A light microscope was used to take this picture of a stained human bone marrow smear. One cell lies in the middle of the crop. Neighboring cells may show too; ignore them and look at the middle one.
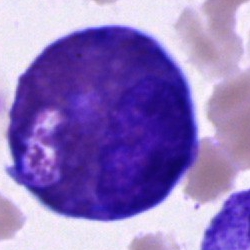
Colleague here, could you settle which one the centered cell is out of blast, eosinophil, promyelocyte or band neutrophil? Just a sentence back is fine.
The center cell of this crop is an eosinophil.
